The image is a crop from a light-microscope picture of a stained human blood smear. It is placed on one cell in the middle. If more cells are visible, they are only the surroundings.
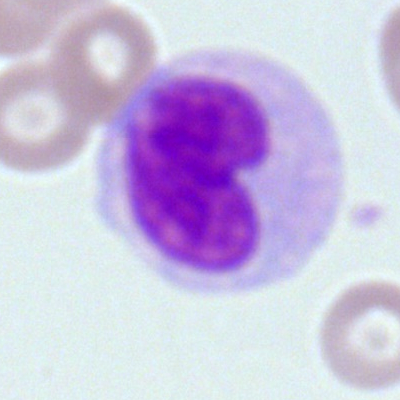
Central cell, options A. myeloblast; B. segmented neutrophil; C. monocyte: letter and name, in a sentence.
The central cell is a monocyte, which makes option C the right answer.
